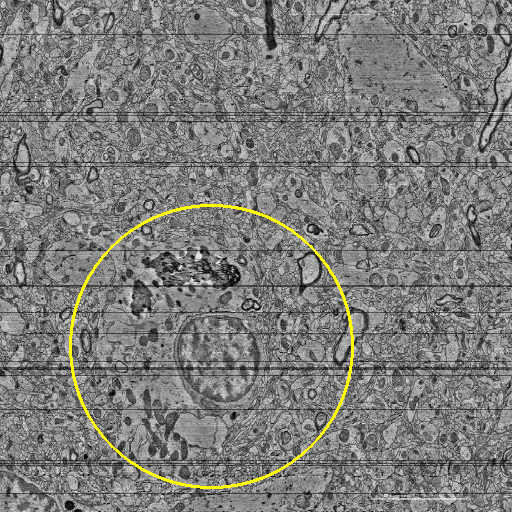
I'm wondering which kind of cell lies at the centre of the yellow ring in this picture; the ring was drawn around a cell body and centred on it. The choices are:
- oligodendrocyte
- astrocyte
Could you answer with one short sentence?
At the centre of the ring lies an oligodendrocyte.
